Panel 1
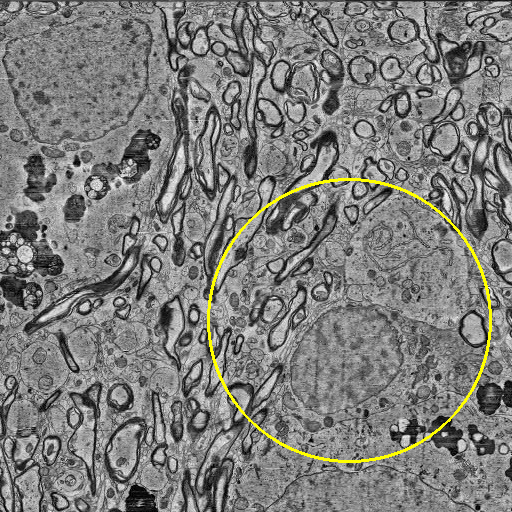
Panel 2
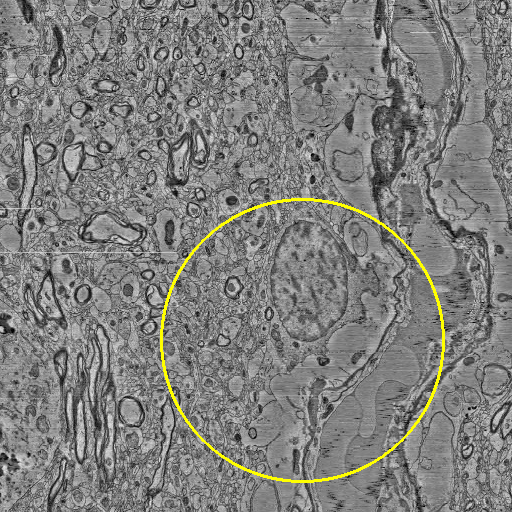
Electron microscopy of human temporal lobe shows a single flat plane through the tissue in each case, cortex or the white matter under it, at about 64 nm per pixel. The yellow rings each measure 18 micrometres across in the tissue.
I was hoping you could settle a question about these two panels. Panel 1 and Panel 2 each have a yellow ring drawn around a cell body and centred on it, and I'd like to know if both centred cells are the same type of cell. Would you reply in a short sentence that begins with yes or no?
Yes, both are the same type of cell.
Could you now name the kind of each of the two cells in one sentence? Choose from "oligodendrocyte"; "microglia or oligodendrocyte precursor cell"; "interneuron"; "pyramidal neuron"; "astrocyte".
Each of the two pictures has an oligodendrocyte at the ring centre.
